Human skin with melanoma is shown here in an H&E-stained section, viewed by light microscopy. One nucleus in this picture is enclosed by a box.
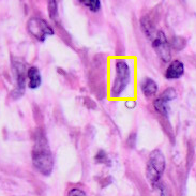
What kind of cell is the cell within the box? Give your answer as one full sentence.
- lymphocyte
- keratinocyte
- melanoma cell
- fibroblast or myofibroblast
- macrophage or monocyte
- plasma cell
This is a fibroblast or myofibroblast.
